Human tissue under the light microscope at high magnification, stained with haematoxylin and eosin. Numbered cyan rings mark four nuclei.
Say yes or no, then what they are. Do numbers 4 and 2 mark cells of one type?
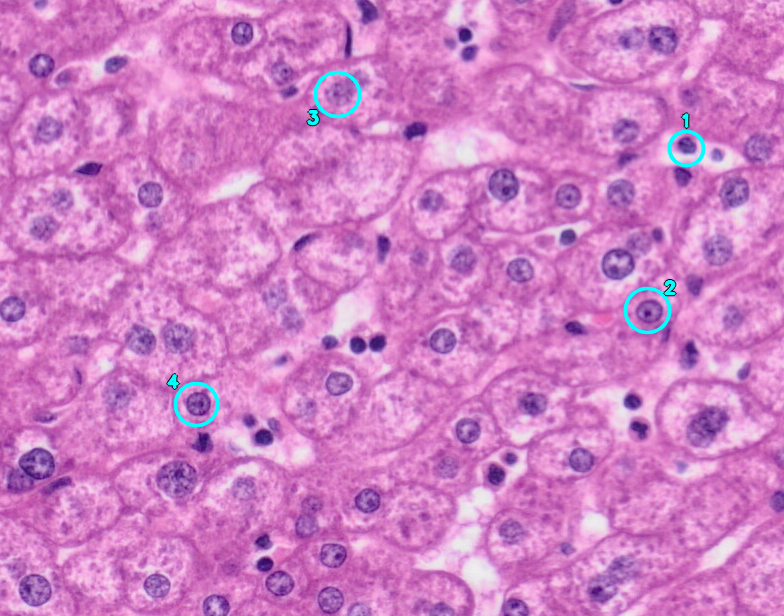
Yes, both cell 4 and cell 2 are hepatocytes.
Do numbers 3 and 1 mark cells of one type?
No, cell 1 is a lymphocyte, whereas cell 3 is a hepatocyte.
